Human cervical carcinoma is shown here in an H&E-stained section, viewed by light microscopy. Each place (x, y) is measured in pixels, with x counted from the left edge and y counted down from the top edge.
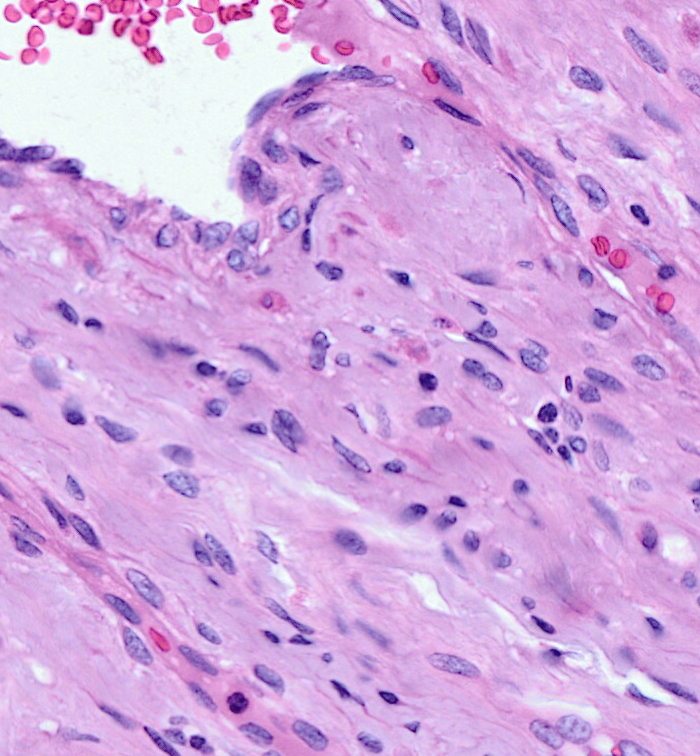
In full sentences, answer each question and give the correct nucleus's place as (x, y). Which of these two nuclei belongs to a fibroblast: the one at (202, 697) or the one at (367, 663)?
The nucleus at (367, 663) belongs to a fibroblast, which distinguishes it from the other nucleus.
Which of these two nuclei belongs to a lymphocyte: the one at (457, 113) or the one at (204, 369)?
Here the nucleus at (204, 369) is the one that belongs to a lymphocyte.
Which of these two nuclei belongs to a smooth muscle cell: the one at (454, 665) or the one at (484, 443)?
The nucleus that belongs to a smooth muscle cell sits at (454, 665).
